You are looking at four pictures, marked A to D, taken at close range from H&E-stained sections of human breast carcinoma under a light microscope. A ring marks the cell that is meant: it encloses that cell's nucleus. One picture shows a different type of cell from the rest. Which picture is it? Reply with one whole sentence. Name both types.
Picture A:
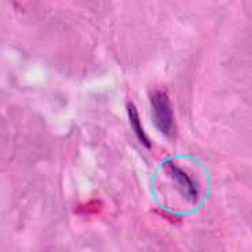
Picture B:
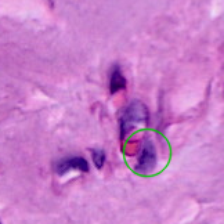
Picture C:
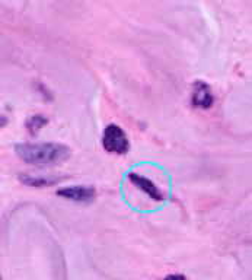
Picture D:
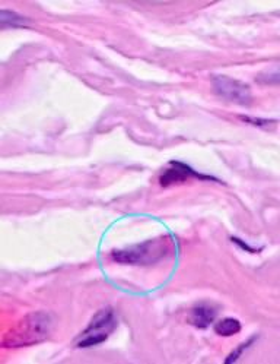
The different one is picture B; it shows an endothelial cell, whereas all the others show fibroblasts.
